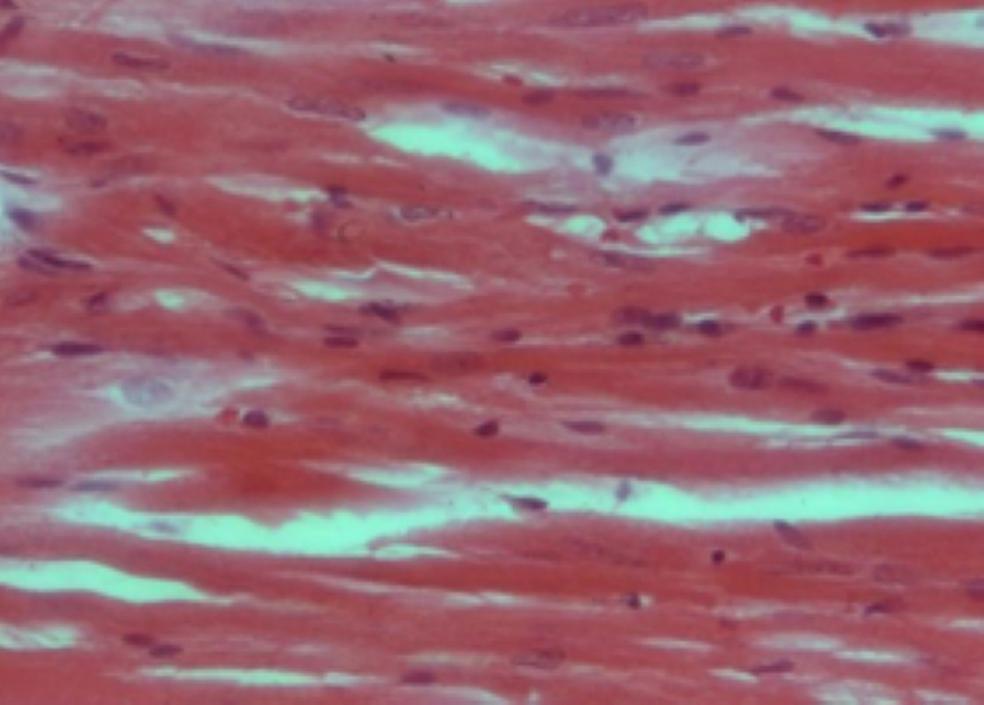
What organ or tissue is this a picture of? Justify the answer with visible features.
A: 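Long, eosin-pink fibers run roughly in parallel across the panel. Oval dark nuclei lie within the fibers, elongated along the fiber axis. Fibers are separated by pale clefts of interstitial space. On this evidence: cardiac myofibers.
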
